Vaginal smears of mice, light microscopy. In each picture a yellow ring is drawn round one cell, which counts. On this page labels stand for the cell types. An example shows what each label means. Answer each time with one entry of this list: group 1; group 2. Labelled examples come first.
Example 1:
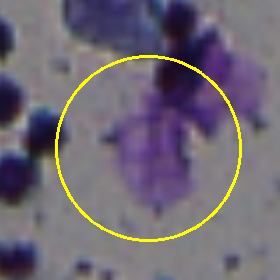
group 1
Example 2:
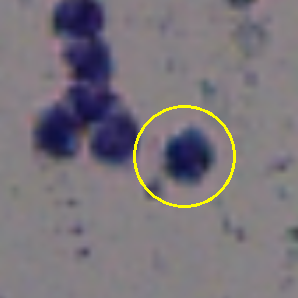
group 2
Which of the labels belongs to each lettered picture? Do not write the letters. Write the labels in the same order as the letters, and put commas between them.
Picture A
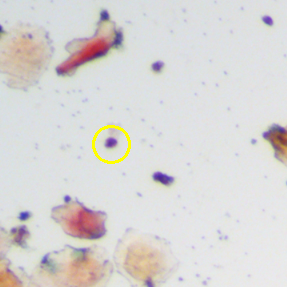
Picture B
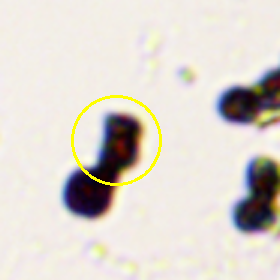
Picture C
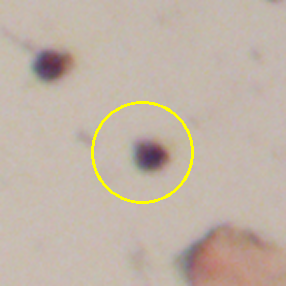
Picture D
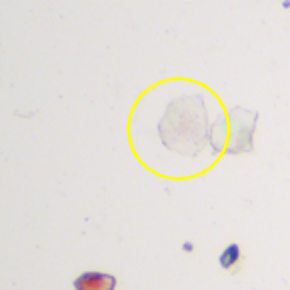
group 2, group 2, group 2, group 1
